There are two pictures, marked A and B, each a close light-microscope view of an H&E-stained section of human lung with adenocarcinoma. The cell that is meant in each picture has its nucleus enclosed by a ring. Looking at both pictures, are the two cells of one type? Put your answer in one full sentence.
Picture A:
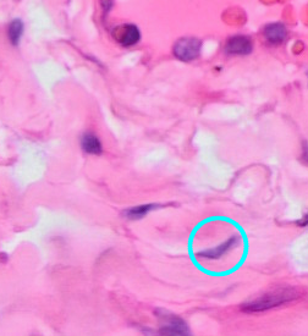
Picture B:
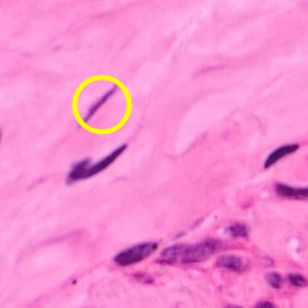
Yes, both cells are fibroblasts.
